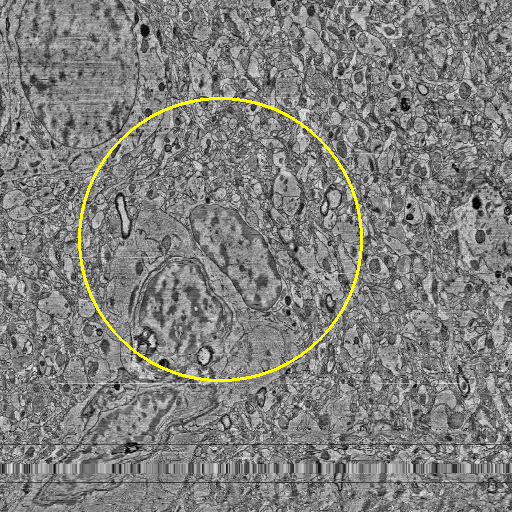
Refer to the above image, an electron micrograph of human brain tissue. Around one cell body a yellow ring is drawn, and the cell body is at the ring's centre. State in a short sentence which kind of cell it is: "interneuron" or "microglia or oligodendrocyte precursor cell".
The centre of the ring falls on a microglial cell or oligodendrocyte precursor cell.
